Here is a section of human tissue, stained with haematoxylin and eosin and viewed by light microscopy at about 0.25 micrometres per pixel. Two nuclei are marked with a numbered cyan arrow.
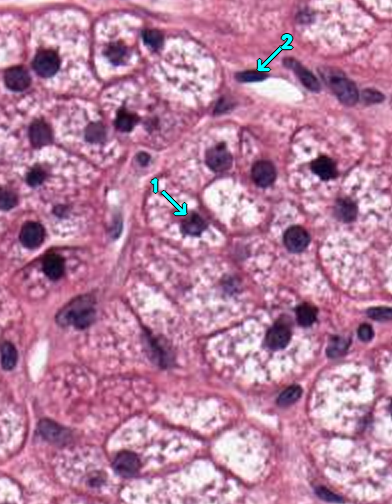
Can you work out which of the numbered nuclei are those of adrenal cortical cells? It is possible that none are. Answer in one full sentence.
Nucleus 1 is the single numbered nucleus that belongs to an adrenal cortical cell.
